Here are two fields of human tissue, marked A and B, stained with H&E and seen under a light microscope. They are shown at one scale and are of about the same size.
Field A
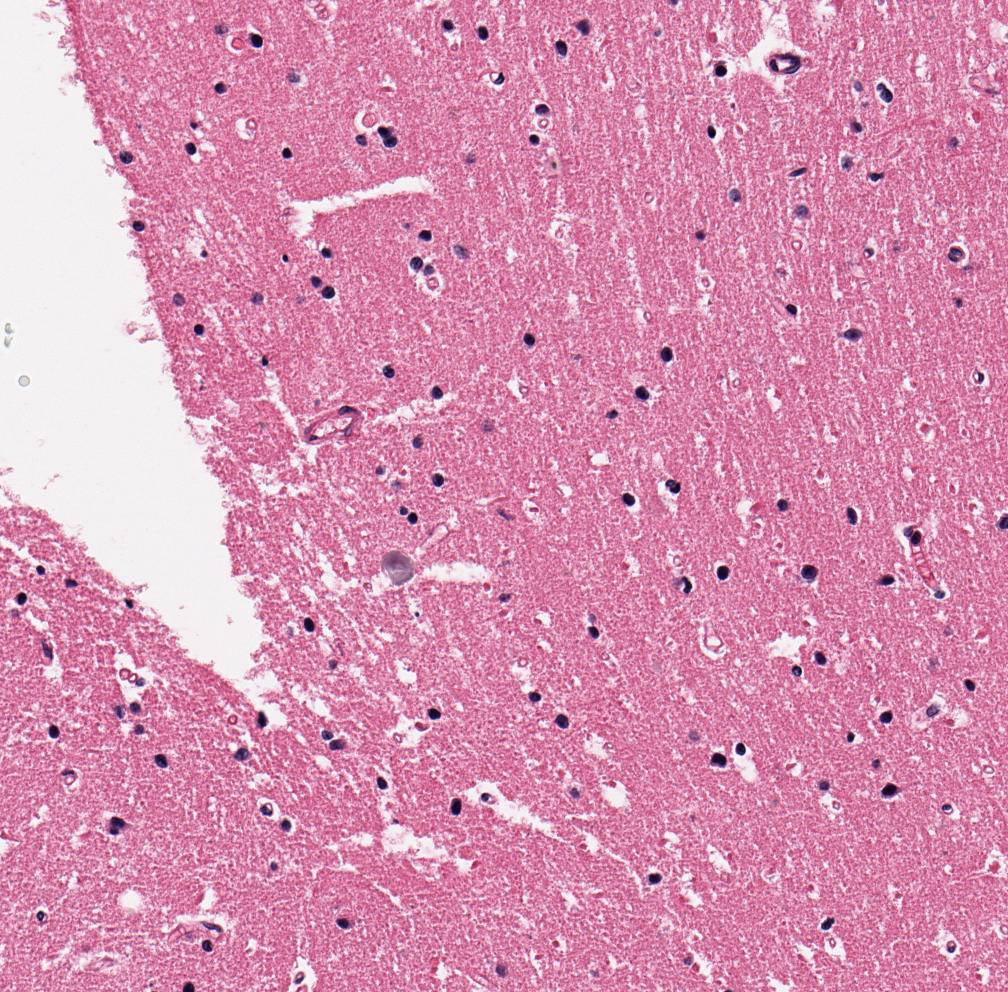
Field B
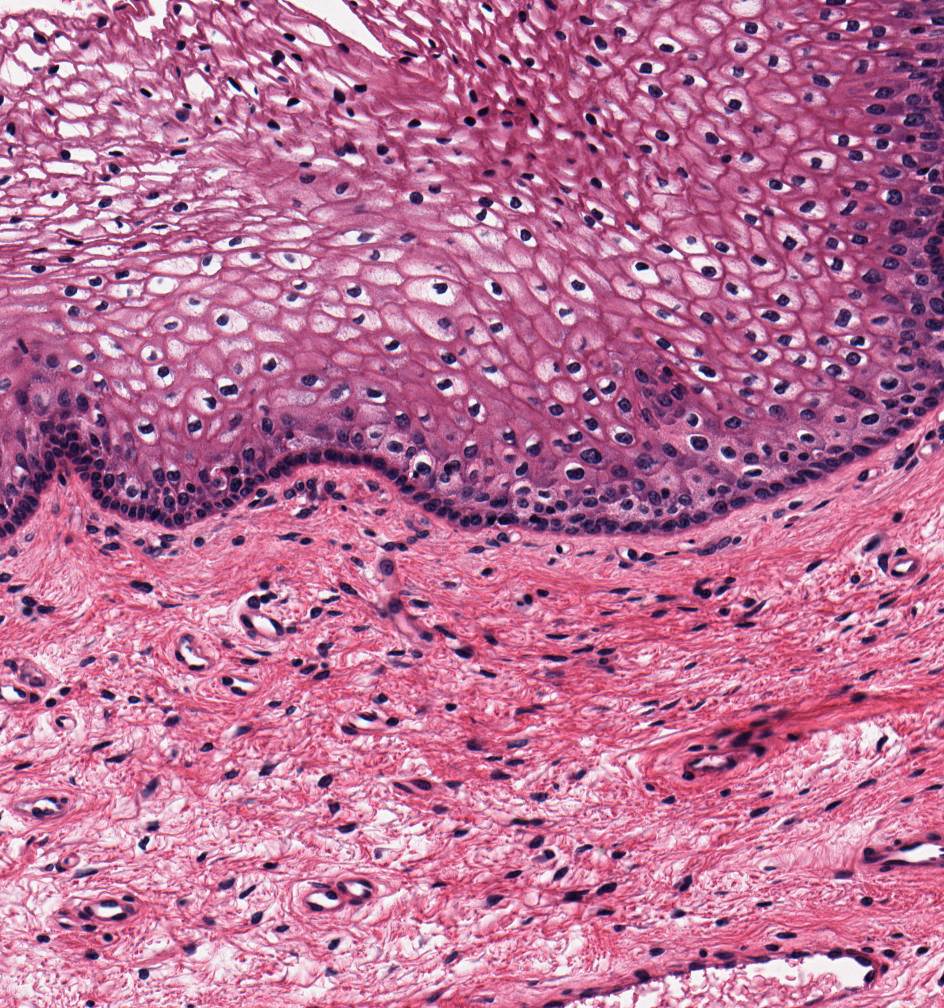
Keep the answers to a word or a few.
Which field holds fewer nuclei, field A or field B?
A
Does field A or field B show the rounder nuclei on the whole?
A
